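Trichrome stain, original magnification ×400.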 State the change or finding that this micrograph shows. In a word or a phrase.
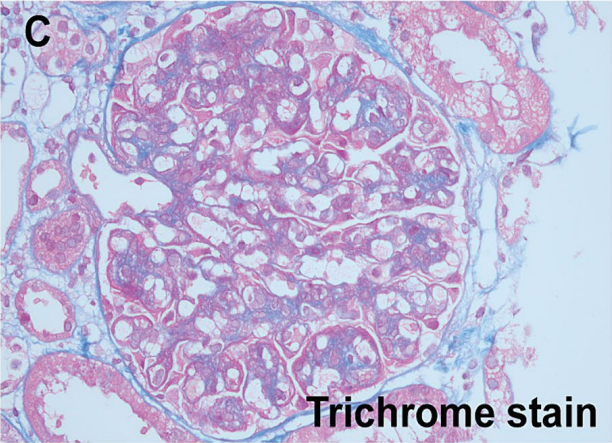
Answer: endocapillary hypercellularity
